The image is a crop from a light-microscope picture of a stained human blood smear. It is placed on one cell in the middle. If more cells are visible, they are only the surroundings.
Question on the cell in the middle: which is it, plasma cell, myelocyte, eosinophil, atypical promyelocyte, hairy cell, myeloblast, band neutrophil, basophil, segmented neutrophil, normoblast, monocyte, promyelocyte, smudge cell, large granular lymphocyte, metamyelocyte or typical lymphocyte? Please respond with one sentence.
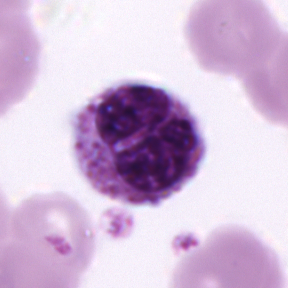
The cell that lies at the centre of the crop is an eosinophil.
